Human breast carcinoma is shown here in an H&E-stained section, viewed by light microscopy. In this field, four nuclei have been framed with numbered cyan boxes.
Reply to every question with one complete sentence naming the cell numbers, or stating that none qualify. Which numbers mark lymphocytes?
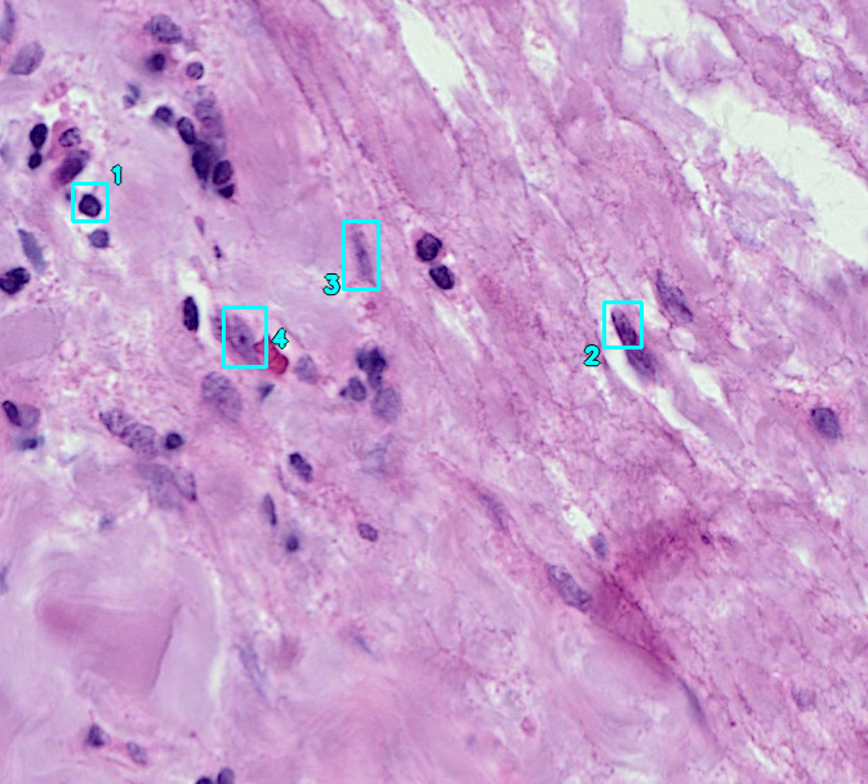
Of the marked cells, the one numbered 1 is a lymphocyte and the rest are not.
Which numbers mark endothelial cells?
Only one marked cell, number 4, is an endothelial cell.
